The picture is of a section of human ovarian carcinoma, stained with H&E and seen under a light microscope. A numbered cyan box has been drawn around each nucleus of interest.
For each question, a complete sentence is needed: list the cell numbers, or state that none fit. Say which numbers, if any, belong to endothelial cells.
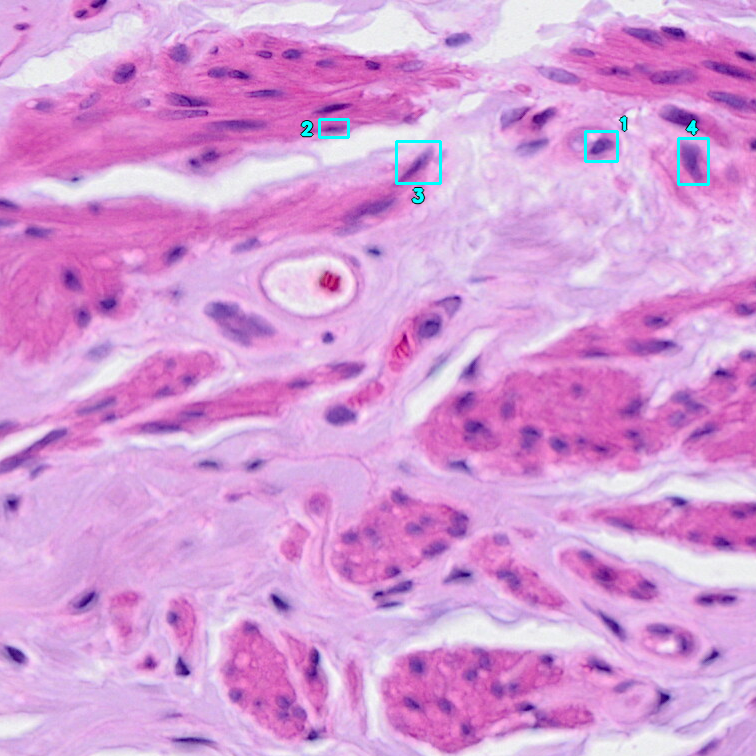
Cell 1 is an endothelial cell, which is true of none of the other numbered cells.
